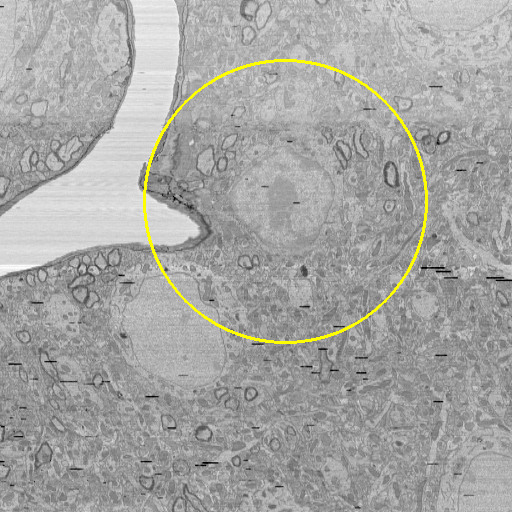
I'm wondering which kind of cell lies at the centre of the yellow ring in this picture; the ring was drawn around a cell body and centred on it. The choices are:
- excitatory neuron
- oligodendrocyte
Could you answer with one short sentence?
At the centre of the ring lies an oligodendrocyte.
